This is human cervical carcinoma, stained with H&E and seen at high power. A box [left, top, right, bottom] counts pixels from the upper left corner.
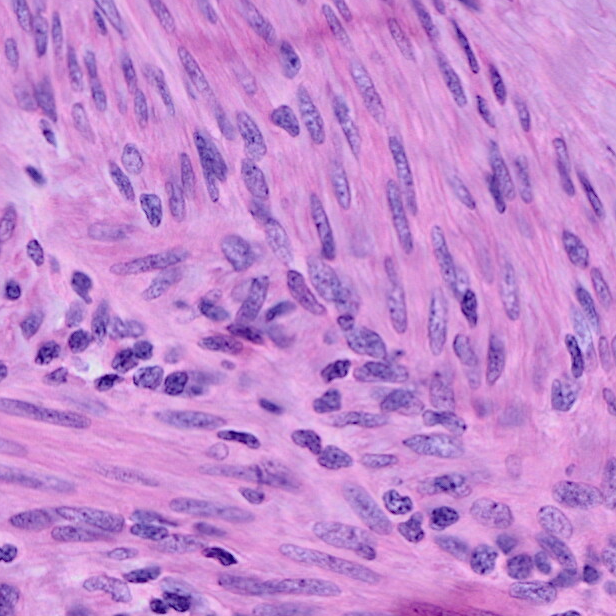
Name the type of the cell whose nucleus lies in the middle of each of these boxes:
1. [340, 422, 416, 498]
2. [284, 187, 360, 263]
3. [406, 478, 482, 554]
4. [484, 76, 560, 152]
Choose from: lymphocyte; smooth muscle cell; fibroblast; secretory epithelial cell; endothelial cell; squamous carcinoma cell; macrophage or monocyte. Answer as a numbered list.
1. smooth muscle cell
2. smooth muscle cell
3. lymphocyte
4. smooth muscle cell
